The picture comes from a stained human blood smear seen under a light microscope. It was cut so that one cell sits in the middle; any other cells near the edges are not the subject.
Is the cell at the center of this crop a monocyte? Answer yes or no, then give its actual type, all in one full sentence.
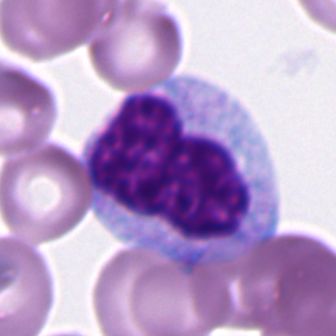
No, the cell placed at the center is a band neutrophil rather than a monocyte.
